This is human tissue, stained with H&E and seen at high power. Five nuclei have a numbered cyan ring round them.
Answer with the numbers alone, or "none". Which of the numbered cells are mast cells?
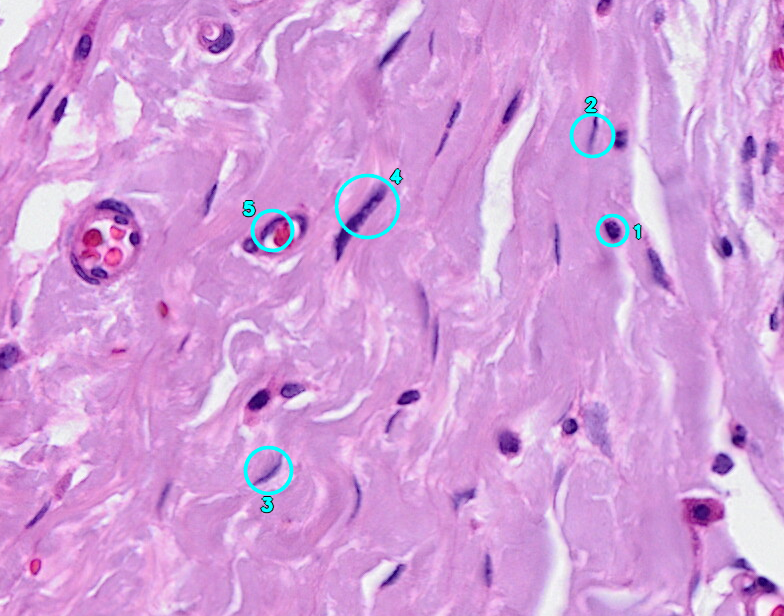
1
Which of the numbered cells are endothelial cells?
5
